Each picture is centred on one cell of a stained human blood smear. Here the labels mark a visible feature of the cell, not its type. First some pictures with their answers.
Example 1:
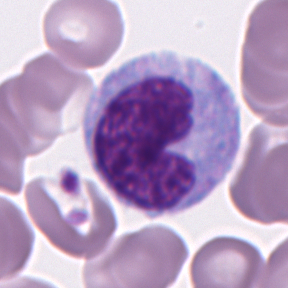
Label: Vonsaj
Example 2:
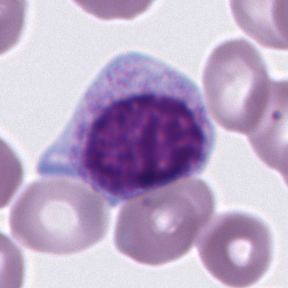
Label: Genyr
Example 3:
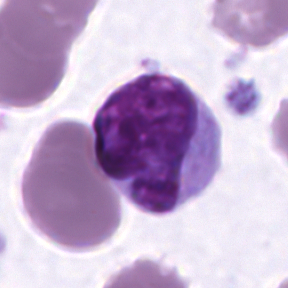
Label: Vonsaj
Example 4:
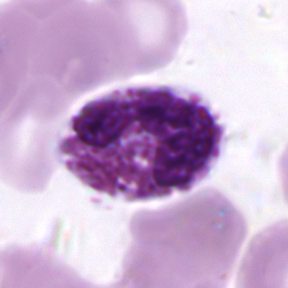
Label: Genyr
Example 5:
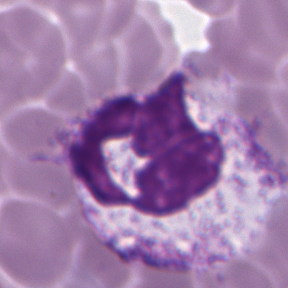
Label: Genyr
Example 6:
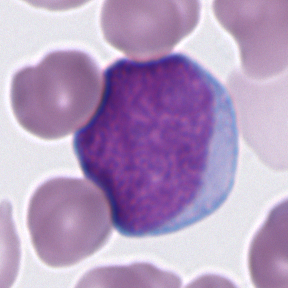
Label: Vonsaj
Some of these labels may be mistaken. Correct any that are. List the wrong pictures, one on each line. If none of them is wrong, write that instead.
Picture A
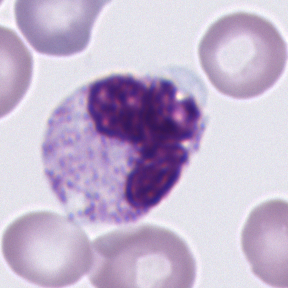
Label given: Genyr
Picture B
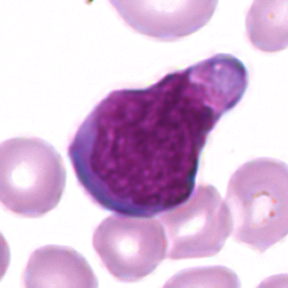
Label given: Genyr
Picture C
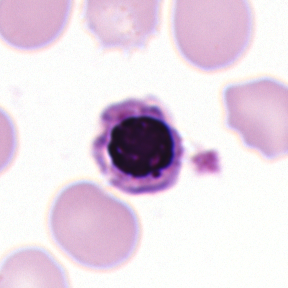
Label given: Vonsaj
Wrong: C (Vonsaj); correct: Genyr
